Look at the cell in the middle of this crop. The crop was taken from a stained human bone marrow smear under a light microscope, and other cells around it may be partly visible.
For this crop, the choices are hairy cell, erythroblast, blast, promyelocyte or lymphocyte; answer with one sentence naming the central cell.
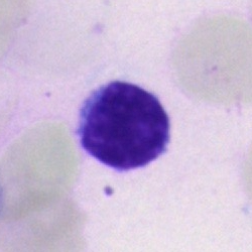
In short, the cell at the center is a lymphocyte.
